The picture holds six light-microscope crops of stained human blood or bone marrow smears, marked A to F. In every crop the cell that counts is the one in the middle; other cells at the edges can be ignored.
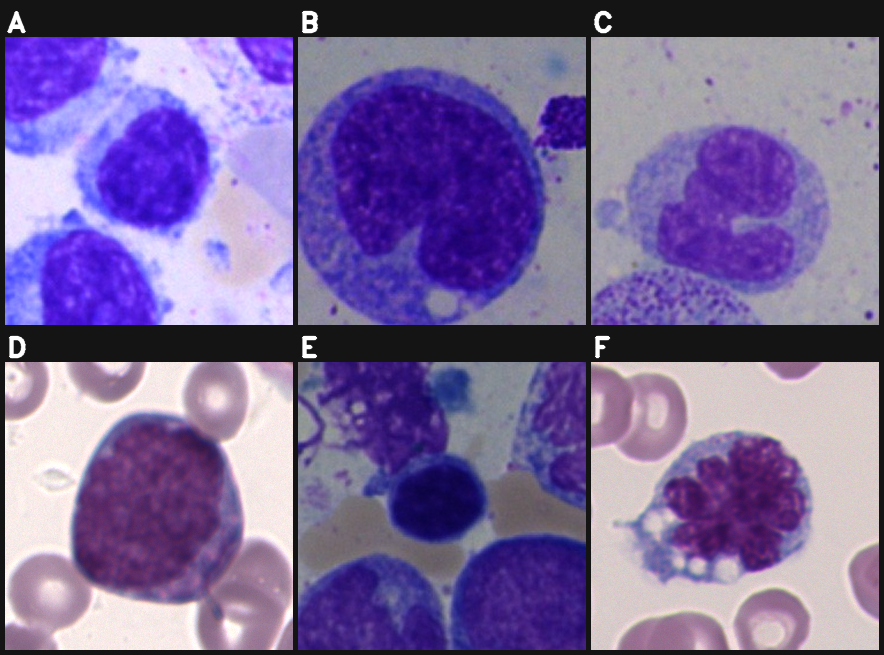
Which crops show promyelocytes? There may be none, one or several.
D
